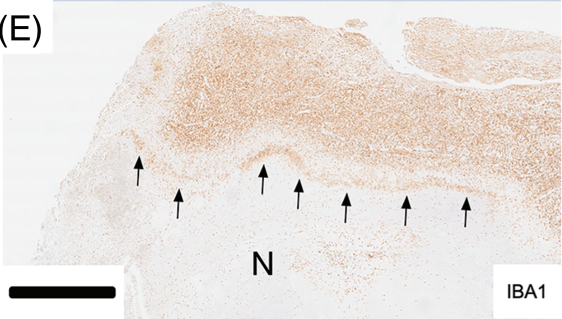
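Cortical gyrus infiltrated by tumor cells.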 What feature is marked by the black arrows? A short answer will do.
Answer: demarcation line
